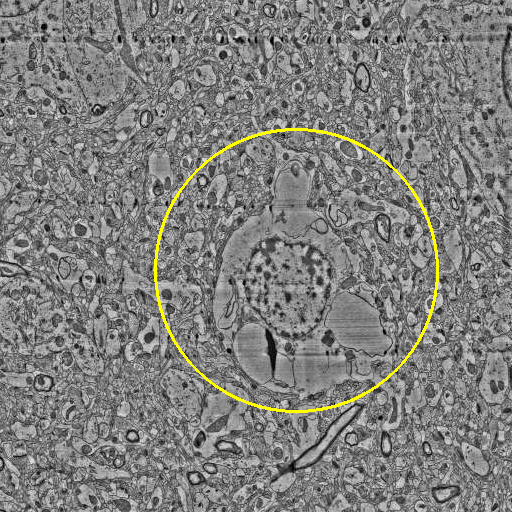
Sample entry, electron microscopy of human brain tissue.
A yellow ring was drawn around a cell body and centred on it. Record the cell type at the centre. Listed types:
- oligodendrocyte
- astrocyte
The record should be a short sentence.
The cell at the ring's centre is an astrocyte.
